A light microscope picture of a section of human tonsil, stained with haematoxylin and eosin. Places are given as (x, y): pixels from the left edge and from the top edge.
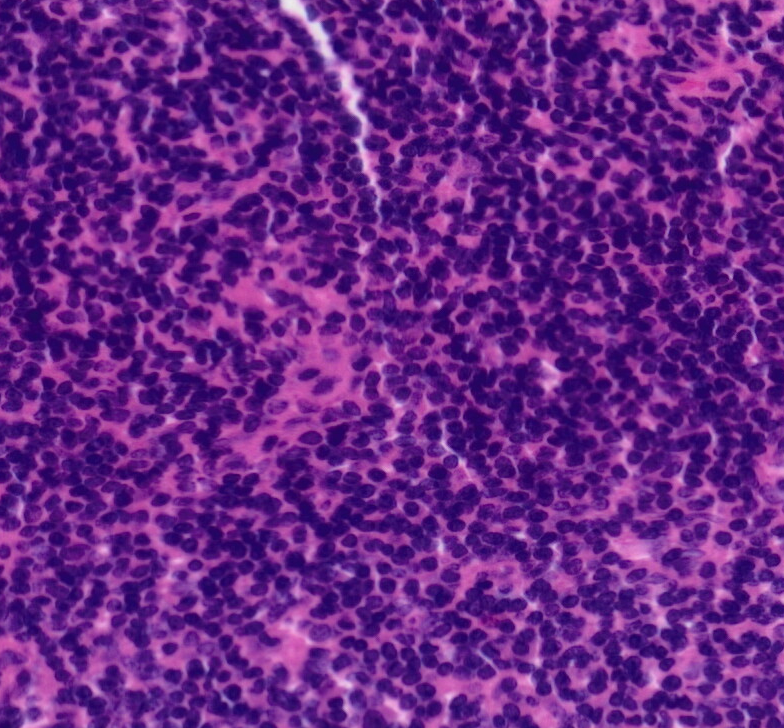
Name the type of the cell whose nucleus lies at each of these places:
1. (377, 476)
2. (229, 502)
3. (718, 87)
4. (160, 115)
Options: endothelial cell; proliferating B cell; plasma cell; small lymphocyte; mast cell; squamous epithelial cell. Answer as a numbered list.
1. small lymphocyte
2. small lymphocyte
3. endothelial cell
4. small lymphocyte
